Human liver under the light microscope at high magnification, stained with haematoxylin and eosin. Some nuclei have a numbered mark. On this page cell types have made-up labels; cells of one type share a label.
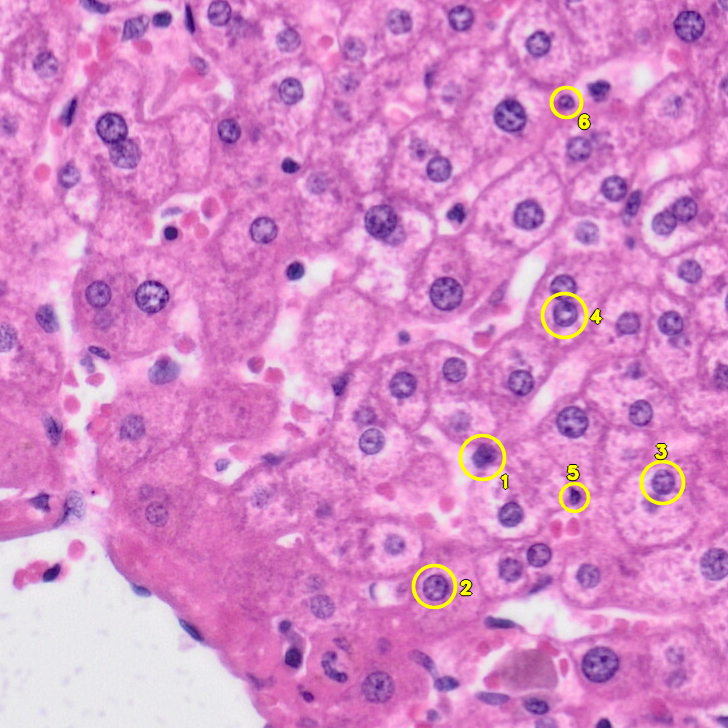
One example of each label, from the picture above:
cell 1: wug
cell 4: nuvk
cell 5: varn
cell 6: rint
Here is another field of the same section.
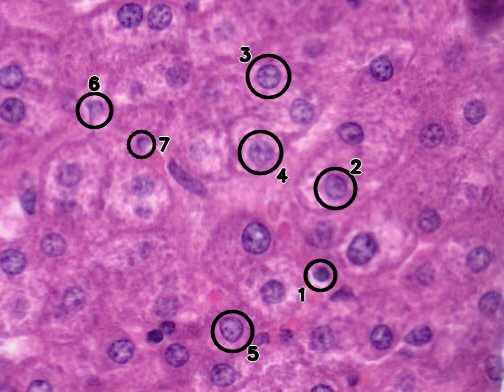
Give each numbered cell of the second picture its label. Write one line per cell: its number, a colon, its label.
1: rint
2: nuvk
3: nuvk
4: nuvk
5: nuvk
6: wug
7: varn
